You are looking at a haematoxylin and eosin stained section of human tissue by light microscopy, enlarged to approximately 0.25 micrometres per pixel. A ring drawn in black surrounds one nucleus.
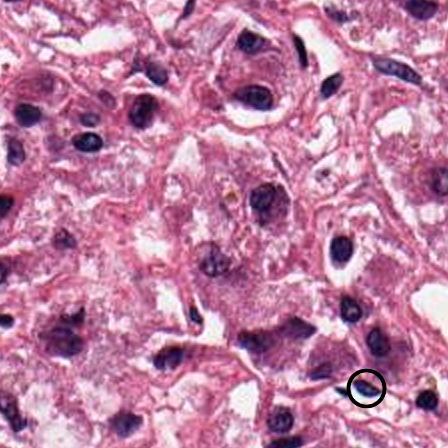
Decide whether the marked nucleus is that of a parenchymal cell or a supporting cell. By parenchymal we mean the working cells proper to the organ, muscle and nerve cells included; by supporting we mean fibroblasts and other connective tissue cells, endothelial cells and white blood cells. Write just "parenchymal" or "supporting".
supporting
